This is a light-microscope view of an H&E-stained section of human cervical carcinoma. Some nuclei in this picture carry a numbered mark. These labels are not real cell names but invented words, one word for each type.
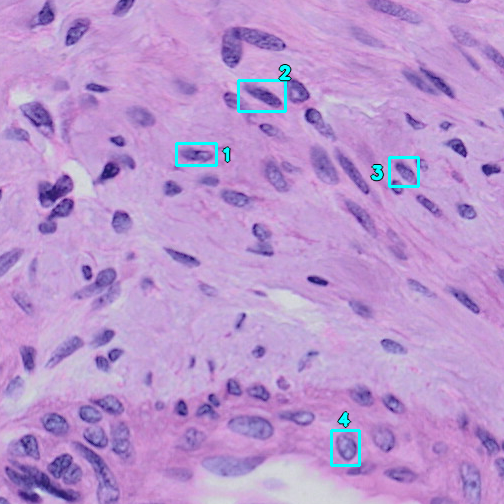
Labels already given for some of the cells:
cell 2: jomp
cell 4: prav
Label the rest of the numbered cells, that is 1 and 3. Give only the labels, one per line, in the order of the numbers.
prav
prav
